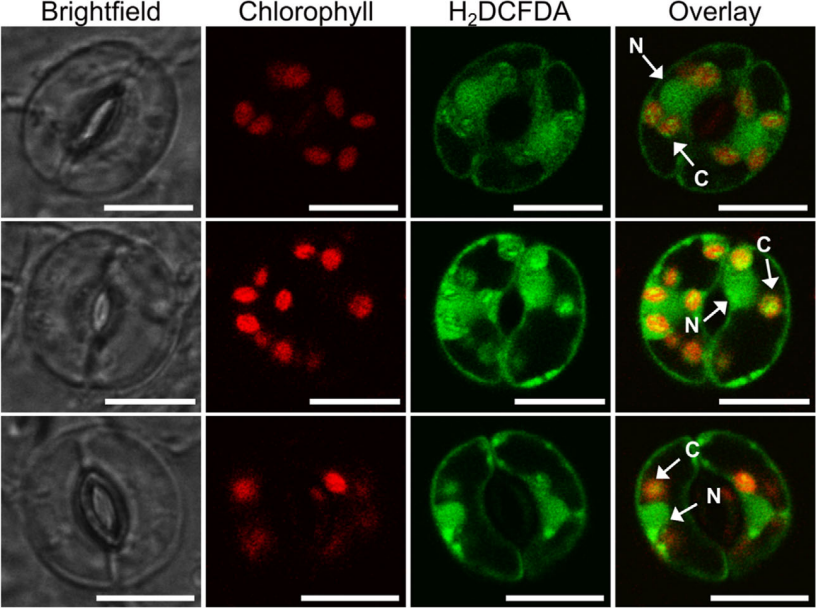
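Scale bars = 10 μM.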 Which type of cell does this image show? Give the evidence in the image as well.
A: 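Two kidney-shaped cells face each other around a central slit-like pore. The paired cells are enclosed in a rounded outline. Oval red bodies lie within both cells. The answer: guard cells.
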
